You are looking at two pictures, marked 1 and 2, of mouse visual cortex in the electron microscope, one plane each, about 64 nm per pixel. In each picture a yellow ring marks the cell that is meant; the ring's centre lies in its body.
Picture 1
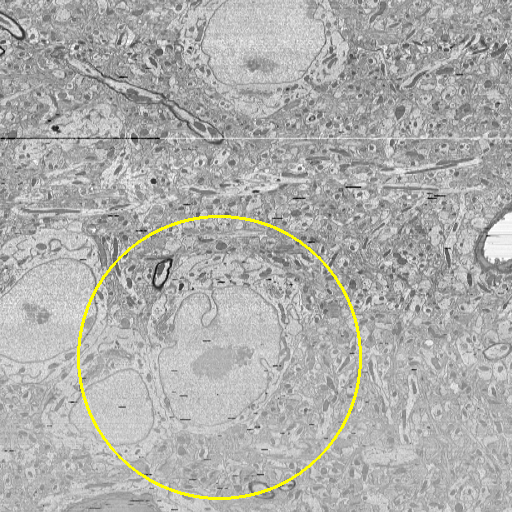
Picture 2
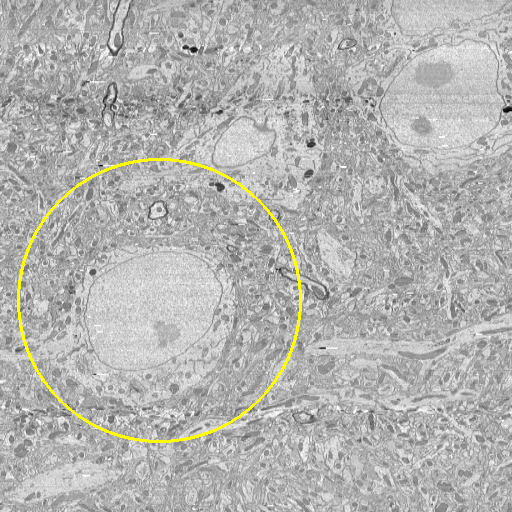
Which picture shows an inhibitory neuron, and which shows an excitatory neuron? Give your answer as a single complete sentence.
Picture 1 shows an inhibitory neuron and picture 2 shows an excitatory neuron.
